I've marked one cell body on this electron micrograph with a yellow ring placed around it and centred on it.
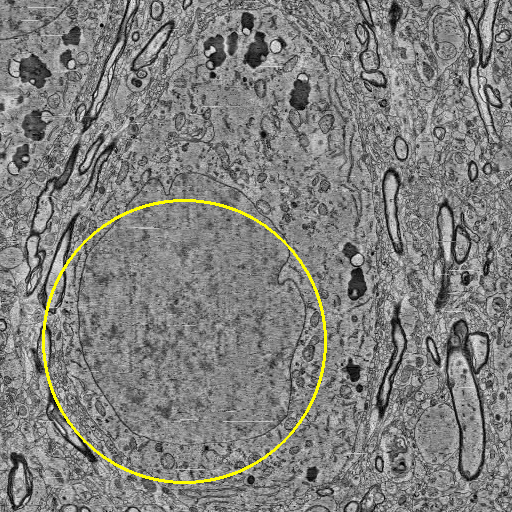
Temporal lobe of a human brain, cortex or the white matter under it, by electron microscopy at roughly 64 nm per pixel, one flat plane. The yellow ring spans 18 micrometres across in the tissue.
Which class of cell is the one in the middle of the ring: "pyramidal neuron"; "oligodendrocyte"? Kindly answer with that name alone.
pyramidal neuron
